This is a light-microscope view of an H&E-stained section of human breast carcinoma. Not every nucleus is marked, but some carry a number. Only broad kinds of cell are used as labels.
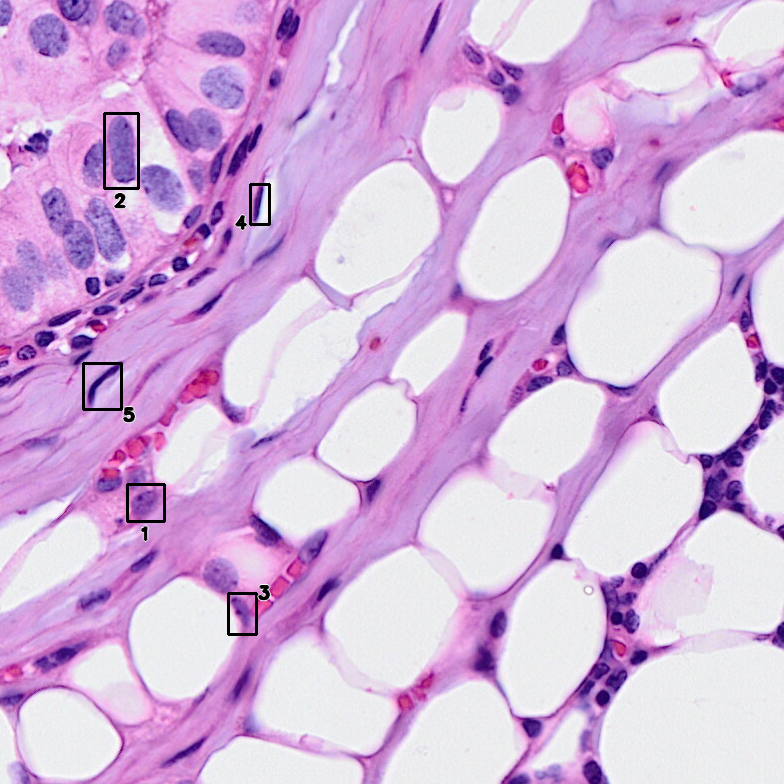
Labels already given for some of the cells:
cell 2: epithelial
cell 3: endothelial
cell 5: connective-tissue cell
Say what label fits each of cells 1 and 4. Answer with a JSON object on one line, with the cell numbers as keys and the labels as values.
{"1": "endothelial", "4": "connective-tissue cell"}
